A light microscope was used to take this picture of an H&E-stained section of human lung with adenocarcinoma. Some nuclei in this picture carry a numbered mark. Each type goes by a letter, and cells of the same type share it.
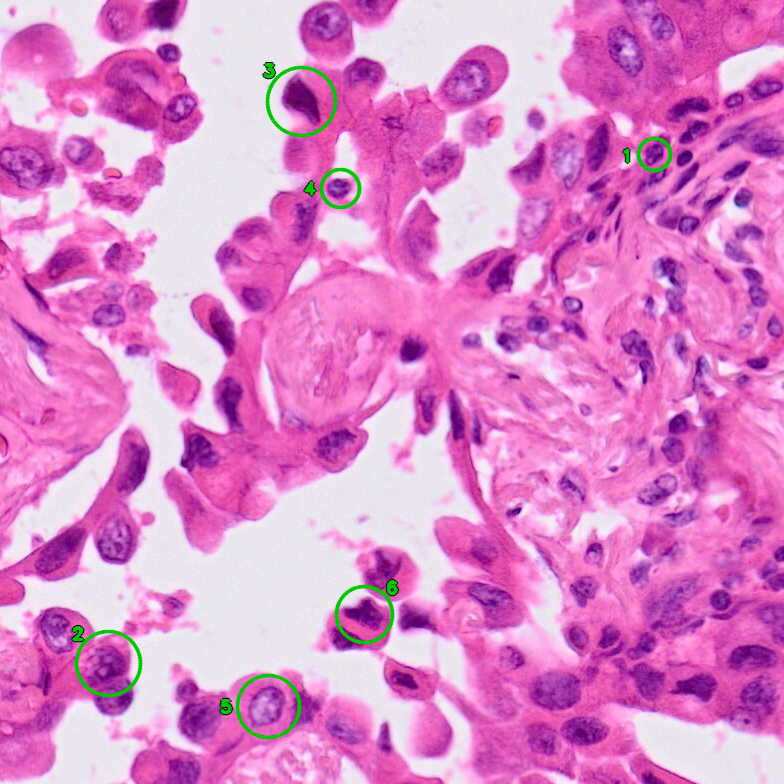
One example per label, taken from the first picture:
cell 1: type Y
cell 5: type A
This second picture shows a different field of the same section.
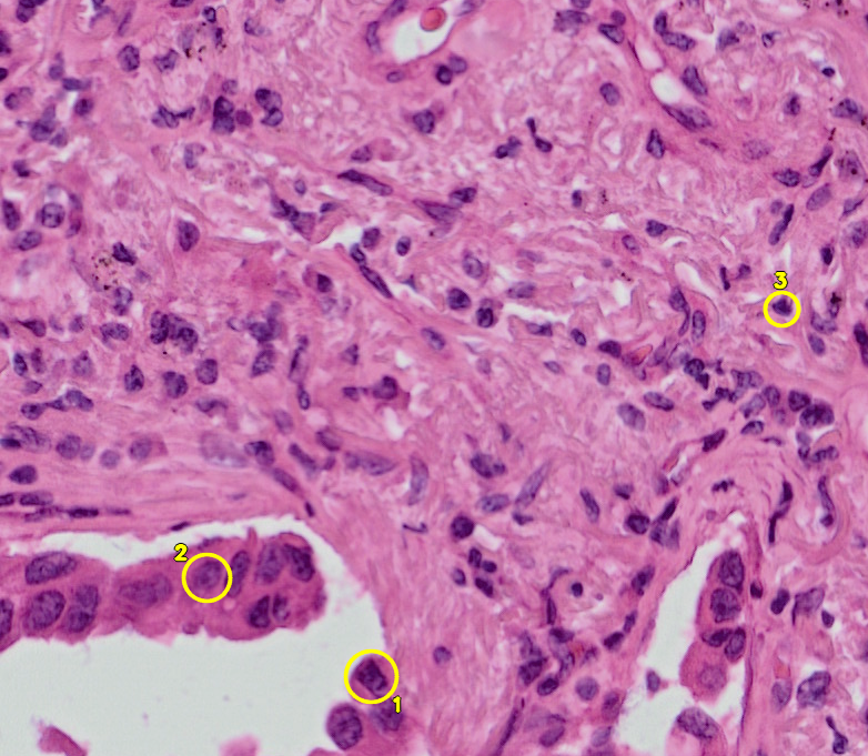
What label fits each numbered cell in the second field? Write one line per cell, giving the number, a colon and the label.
1: type A
2: type A
3: type Y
